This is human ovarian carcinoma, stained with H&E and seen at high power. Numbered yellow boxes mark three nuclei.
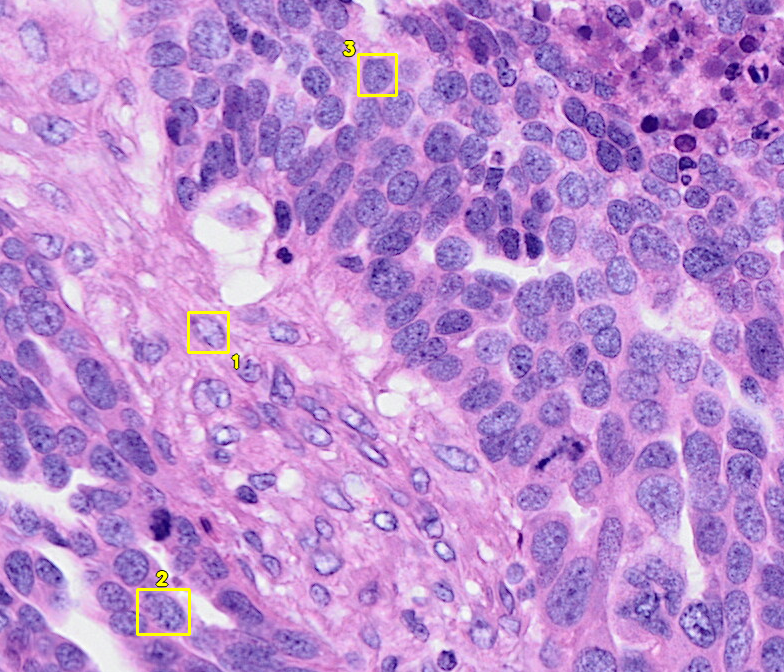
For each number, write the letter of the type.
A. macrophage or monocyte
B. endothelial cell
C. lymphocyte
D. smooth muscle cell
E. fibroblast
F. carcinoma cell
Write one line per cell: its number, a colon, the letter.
1: E
2: F
3: F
